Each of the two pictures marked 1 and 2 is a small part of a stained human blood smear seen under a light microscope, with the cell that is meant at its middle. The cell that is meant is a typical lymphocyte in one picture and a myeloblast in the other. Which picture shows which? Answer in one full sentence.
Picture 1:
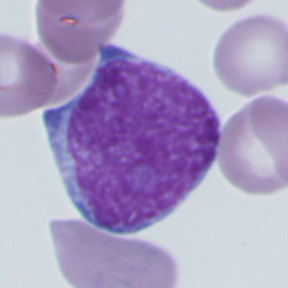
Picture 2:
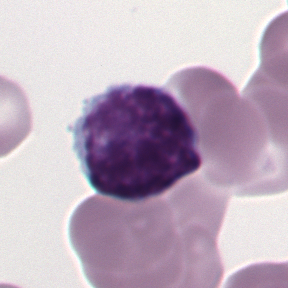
Picture 2 shows a typical lymphocyte, while picture 1 shows a myeloblast.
